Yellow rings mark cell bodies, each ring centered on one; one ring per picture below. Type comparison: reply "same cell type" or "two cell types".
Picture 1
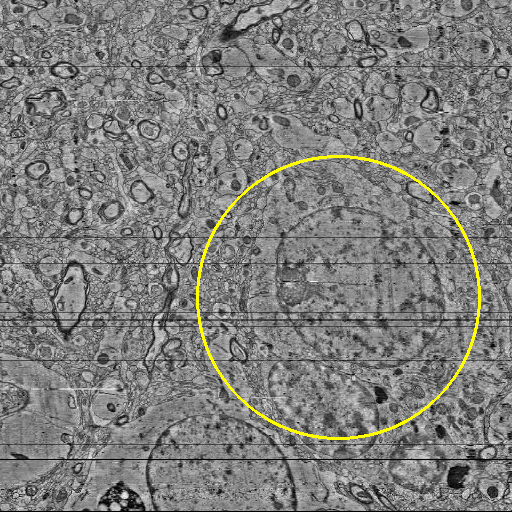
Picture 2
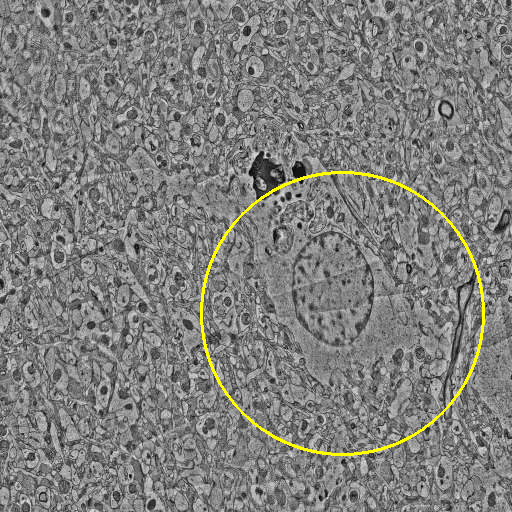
two cell types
